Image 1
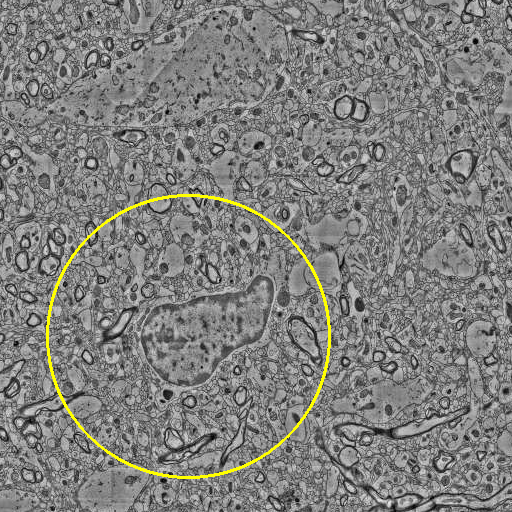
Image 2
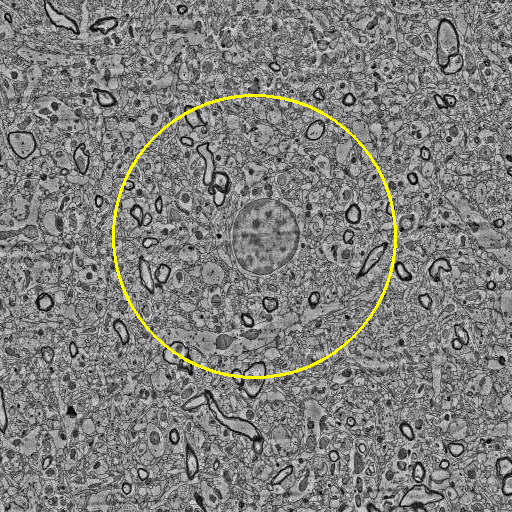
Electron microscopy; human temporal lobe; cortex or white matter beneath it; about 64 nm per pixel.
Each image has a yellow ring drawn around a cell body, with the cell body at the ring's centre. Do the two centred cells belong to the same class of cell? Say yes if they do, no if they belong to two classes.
yes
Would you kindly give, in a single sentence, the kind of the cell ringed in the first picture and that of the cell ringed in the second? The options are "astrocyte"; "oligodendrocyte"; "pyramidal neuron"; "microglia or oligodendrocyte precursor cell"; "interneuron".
Each of the ringed cells, first and second, is a microglial cell or oligodendrocyte precursor cell.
